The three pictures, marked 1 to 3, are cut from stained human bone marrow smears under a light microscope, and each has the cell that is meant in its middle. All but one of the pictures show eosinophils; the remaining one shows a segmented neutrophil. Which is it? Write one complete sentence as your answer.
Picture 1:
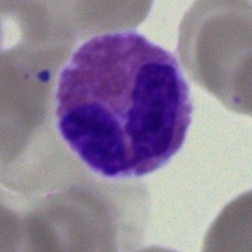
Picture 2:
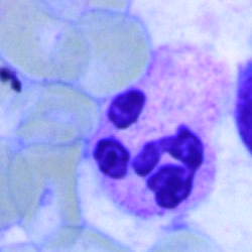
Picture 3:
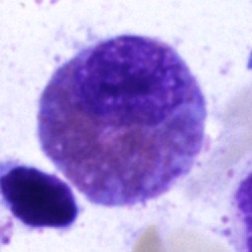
The cell in picture 2 is the segmented neutrophil.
